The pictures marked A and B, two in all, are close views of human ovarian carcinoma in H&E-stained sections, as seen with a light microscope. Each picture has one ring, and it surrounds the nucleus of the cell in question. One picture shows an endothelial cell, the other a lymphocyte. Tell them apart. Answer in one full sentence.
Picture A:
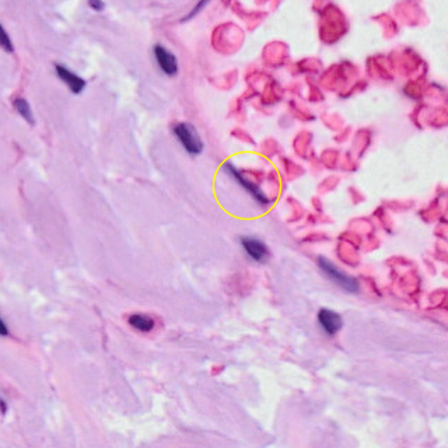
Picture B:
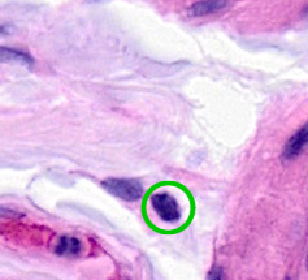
In picture A the cell is an endothelial cell; in picture B, a lymphocyte.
